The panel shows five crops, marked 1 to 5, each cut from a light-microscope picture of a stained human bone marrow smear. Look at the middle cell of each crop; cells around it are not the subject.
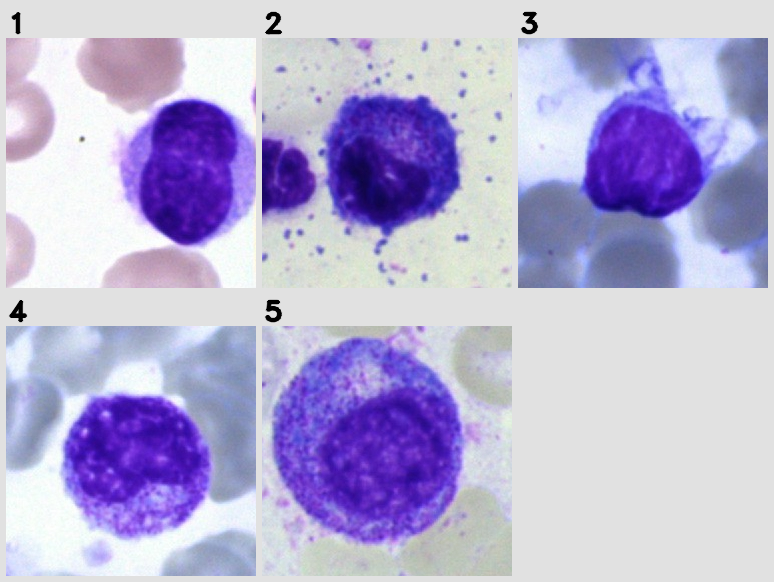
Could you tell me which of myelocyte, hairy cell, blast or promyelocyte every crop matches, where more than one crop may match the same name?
1: hairy cell
2: promyelocyte
3: hairy cell
4: myelocyte
5: promyelocyte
